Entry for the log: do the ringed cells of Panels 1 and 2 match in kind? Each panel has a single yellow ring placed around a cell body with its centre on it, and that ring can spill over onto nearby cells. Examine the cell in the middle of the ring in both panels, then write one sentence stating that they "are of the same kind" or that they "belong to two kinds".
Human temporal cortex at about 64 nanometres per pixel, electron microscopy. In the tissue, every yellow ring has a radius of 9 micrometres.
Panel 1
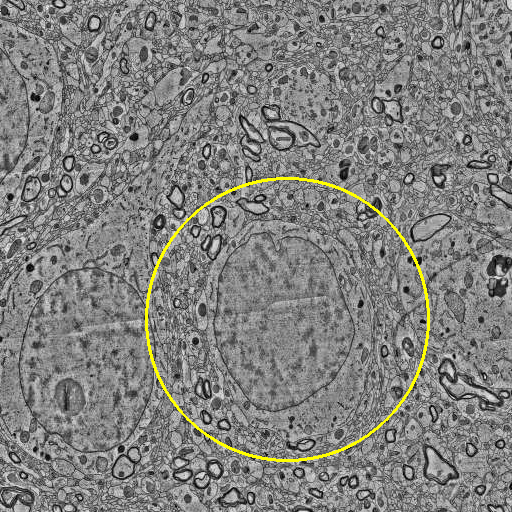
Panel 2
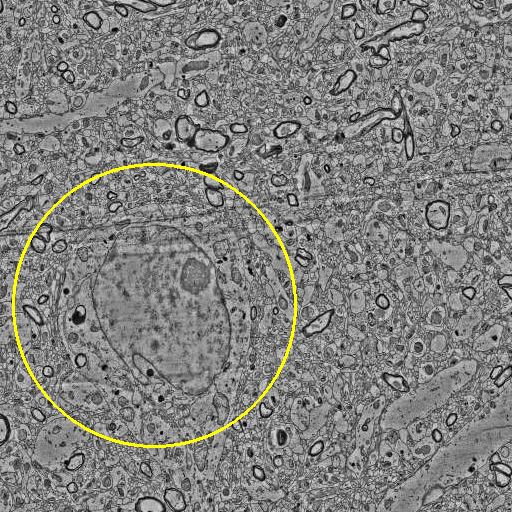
The centre cell of Panel 1's ring and that of Panel 2's ring are of the same kind.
